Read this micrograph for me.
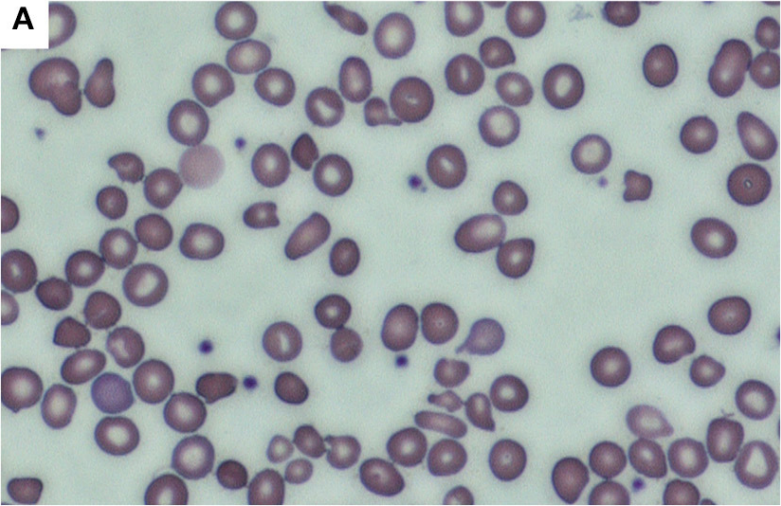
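A blood smear of red cells that vary markedly in size and shape, many with a pale centre. Among round forms lie oval and elongated cells, teardrop-shaped cells and occasional cells with a central dot of colour, while small purple platelets are scattered between them.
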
